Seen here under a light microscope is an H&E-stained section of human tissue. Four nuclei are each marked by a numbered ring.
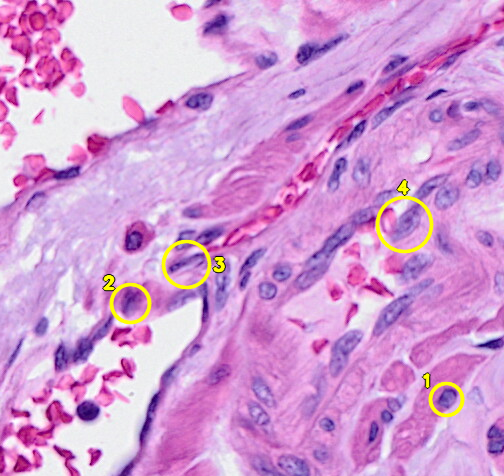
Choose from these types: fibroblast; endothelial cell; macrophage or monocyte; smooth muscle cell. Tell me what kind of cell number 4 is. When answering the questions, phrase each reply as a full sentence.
The cell referenced by the number 4 is an endothelial cell in this field.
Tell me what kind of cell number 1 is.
The cell pointed out by number 1 is a smooth muscle cell.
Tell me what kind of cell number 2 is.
The correct label for cell 2 is an endothelial cell.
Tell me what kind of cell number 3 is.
The cell that bears the number 3 is an endothelial cell.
